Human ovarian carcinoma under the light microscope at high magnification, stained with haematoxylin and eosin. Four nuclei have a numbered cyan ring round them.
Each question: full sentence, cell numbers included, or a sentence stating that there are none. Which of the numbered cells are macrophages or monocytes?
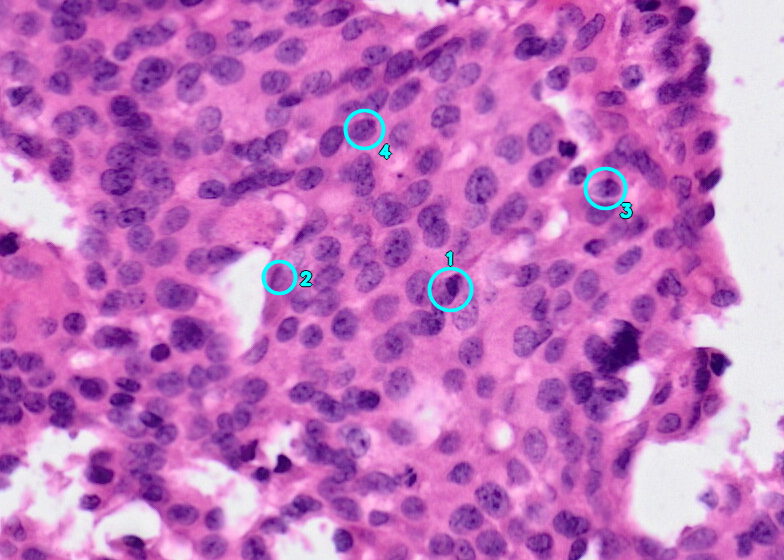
As for the numbered cells, only cell 3 is a macrophage or monocyte.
